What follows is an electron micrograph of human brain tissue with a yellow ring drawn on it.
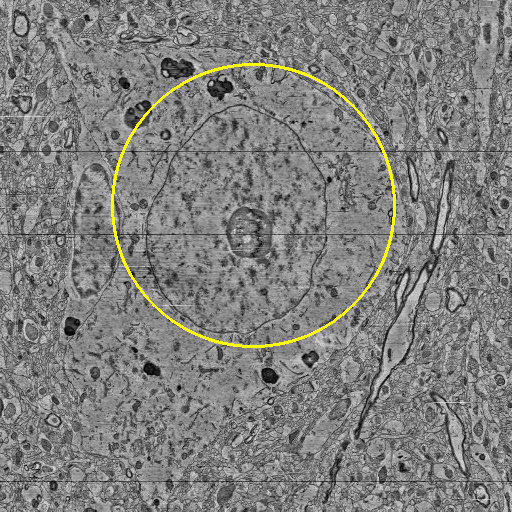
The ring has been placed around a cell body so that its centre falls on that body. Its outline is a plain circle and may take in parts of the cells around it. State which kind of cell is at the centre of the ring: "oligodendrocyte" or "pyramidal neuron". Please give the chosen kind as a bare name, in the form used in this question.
pyramidal neuron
